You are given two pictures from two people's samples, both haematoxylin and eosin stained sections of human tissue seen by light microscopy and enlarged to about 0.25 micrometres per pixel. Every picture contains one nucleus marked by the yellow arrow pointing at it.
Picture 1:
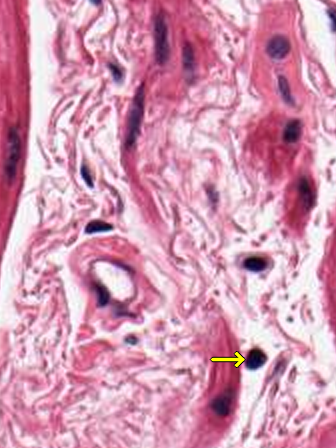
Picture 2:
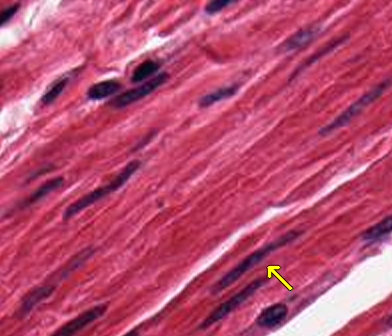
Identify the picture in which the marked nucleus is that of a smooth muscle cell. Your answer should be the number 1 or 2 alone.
2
